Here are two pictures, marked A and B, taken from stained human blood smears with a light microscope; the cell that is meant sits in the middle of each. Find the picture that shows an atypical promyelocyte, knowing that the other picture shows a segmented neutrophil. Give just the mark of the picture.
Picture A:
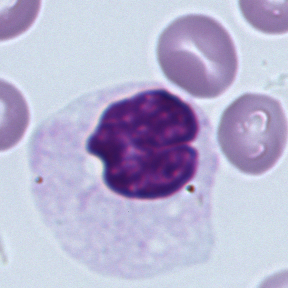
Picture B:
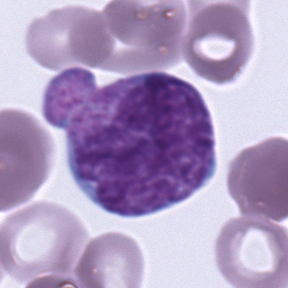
B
